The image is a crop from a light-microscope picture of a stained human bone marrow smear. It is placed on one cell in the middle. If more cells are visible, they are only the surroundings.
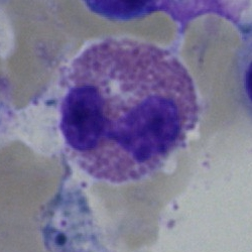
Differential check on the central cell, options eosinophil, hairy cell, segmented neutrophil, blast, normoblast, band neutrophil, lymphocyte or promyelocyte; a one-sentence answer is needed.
Centrally within this crop lies an eosinophil.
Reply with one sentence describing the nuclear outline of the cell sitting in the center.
One defining trait here is a nucleus of two or more segments.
